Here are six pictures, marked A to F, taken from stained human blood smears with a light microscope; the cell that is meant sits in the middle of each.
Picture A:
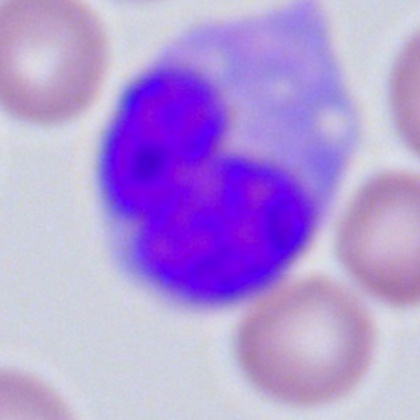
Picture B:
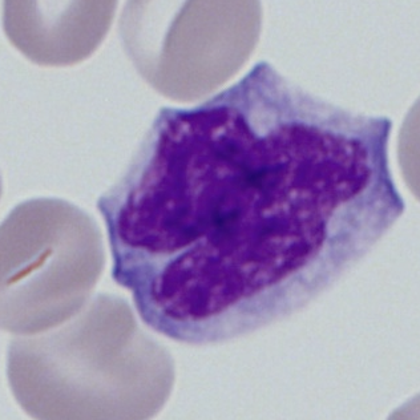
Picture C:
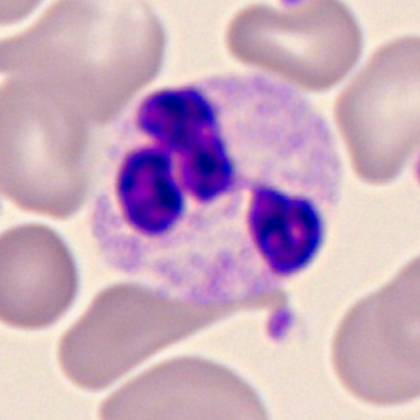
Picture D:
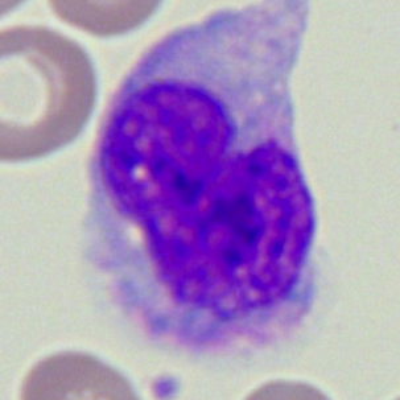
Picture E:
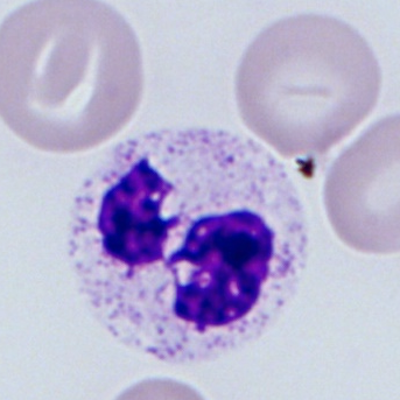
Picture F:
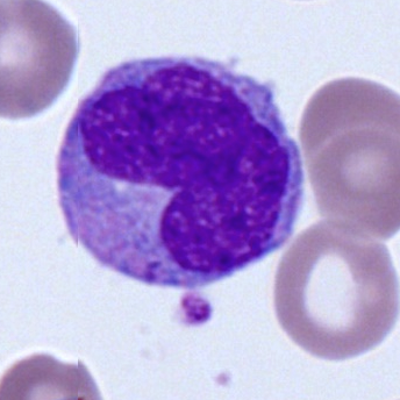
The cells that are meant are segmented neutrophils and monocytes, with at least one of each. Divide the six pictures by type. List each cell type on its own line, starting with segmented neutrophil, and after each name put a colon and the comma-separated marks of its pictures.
segmented neutrophil: C, E
monocyte: A, B, D, F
